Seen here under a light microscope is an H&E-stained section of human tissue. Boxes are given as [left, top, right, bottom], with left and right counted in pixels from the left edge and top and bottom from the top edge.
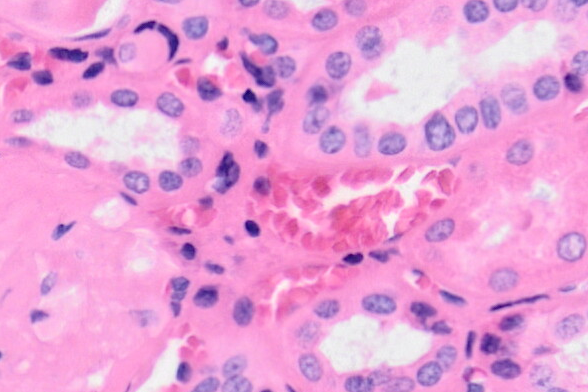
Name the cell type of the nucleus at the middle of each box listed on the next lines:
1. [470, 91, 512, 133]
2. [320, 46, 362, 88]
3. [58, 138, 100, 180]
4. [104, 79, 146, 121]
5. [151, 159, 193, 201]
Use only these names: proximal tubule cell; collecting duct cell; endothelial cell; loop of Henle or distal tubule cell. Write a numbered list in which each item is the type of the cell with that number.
1. collecting duct cell
2. collecting duct cell
3. loop of Henle or distal tubule cell
4. loop of Henle or distal tubule cell
5. loop of Henle or distal tubule cell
